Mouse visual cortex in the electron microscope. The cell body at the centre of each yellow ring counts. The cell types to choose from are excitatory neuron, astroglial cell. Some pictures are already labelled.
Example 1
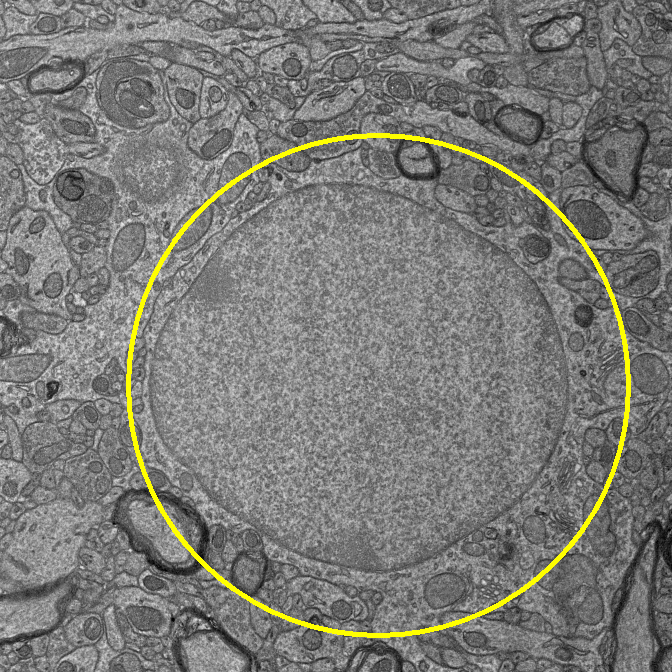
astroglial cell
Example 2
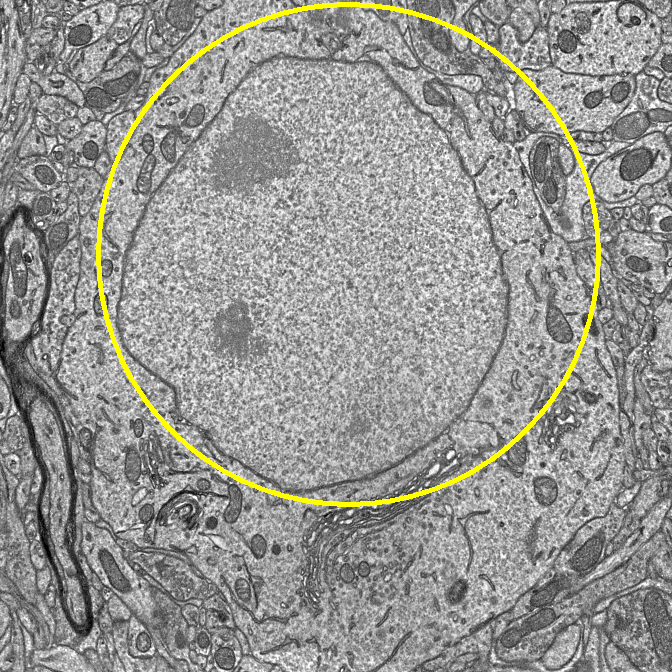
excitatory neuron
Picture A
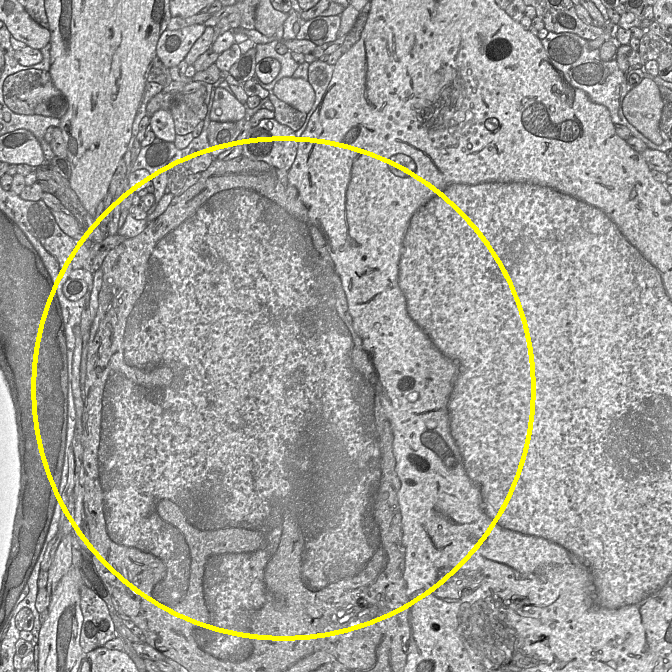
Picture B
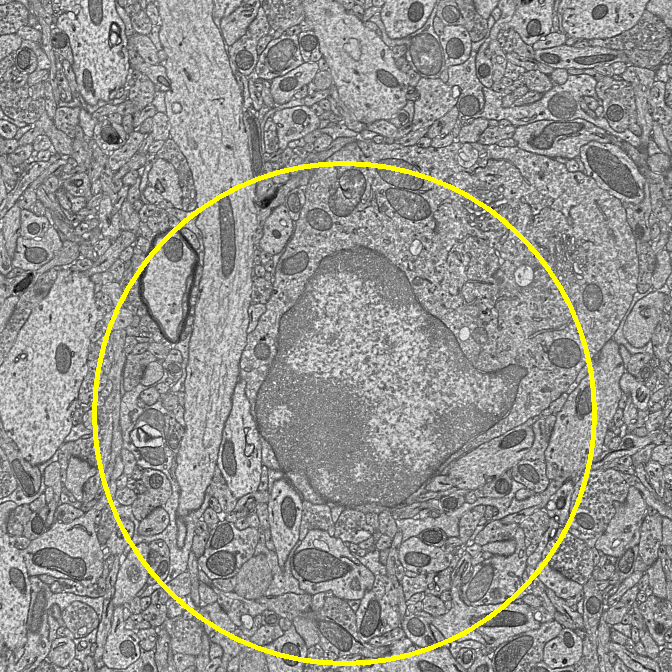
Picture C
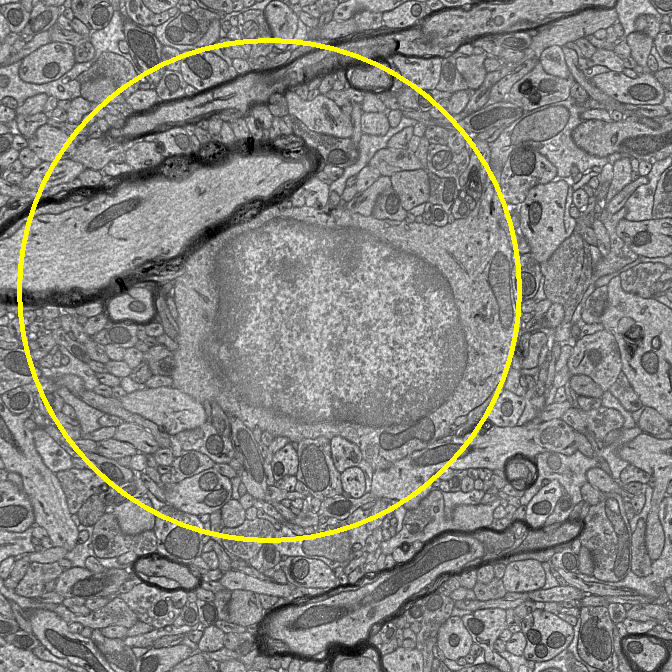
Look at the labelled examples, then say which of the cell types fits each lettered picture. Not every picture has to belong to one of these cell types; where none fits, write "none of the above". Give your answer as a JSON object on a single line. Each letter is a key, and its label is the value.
{"A": "none of the above", "B": "none of the above", "C": "none of the above"}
